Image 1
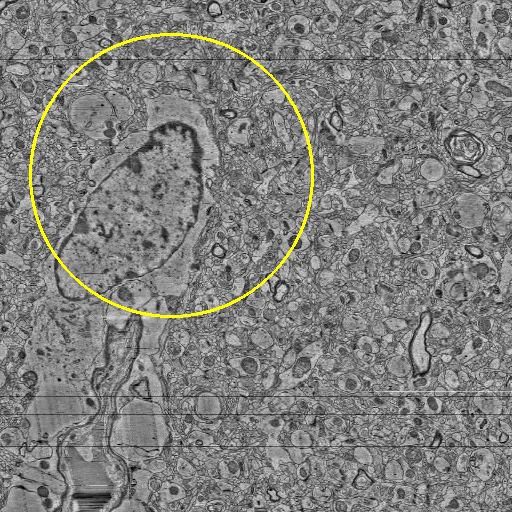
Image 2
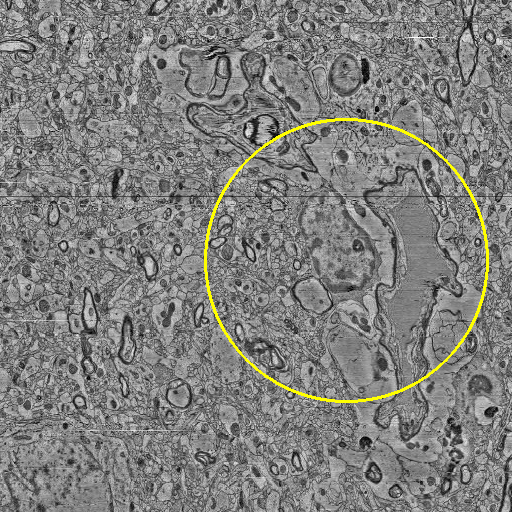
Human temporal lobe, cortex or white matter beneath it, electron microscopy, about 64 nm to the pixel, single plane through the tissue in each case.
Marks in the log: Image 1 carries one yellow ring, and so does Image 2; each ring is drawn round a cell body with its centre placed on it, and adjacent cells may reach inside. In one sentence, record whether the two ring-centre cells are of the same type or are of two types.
The two cells at the ring centres, one in each image, are of two types.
